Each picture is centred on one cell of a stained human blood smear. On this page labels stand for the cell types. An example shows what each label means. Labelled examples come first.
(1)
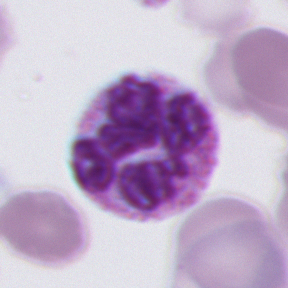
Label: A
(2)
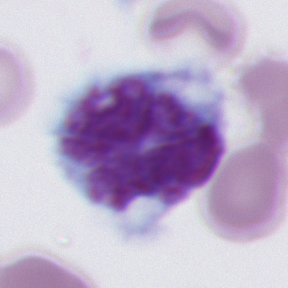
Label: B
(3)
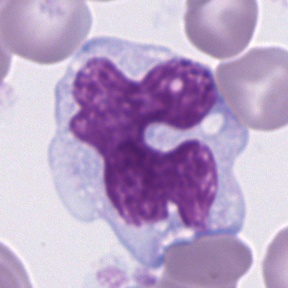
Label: B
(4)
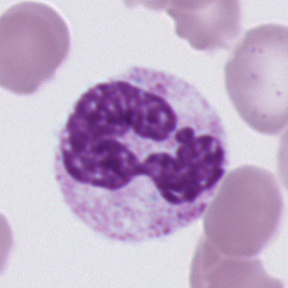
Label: A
